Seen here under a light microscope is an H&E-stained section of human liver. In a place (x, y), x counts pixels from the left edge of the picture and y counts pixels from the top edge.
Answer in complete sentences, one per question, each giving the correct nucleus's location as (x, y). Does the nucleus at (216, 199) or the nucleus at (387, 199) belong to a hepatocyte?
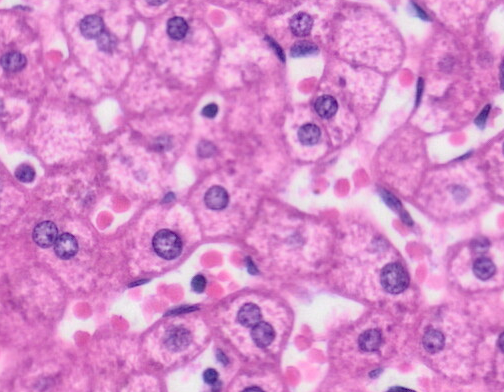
The nucleus that belongs to a hepatocyte sits at (216, 199).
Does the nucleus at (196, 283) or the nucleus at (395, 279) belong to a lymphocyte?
The nucleus at (196, 283) is housed in a lymphocyte.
